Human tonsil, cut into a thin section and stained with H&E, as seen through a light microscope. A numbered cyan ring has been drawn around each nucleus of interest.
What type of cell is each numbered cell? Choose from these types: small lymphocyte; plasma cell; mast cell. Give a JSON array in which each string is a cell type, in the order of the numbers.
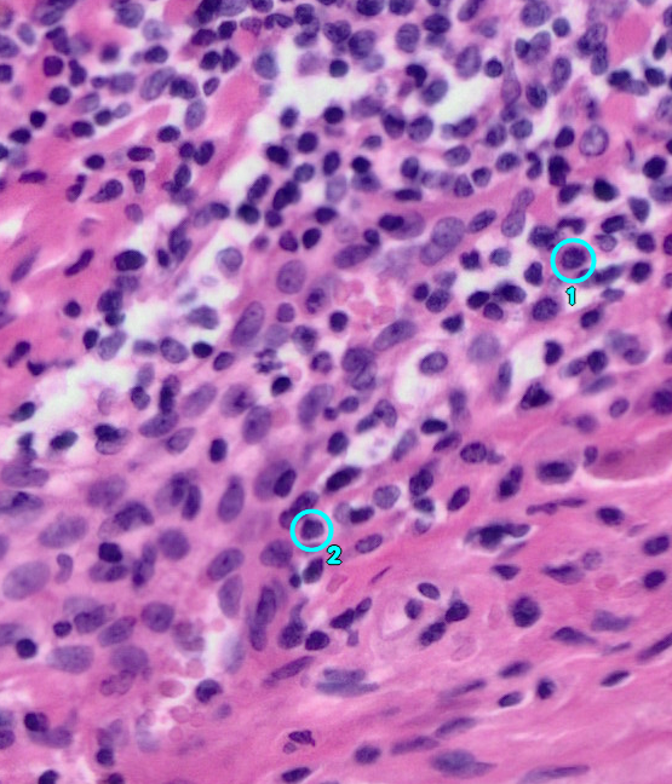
["plasma cell", "mast cell"]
